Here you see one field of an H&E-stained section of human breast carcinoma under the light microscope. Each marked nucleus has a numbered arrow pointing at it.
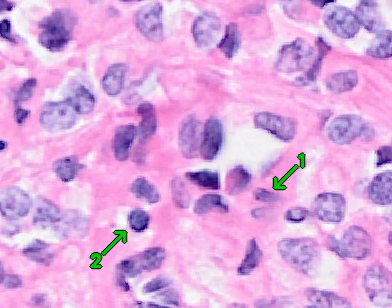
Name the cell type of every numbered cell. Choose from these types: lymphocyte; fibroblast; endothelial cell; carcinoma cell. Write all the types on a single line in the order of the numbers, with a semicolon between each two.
endothelial cell; lymphocyte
